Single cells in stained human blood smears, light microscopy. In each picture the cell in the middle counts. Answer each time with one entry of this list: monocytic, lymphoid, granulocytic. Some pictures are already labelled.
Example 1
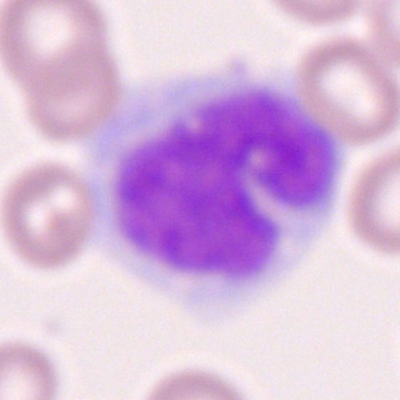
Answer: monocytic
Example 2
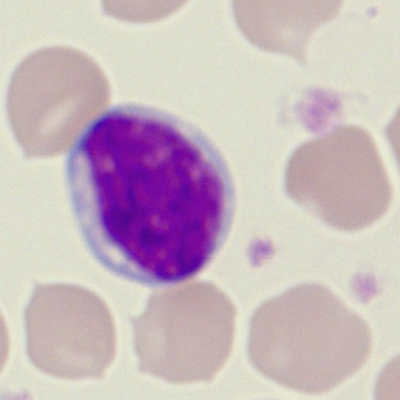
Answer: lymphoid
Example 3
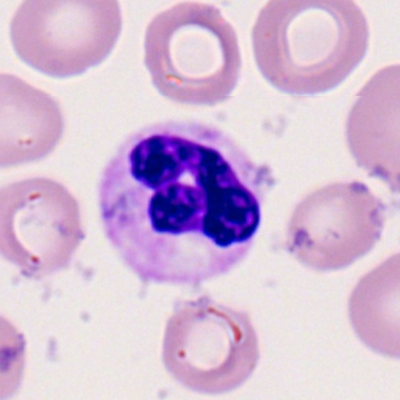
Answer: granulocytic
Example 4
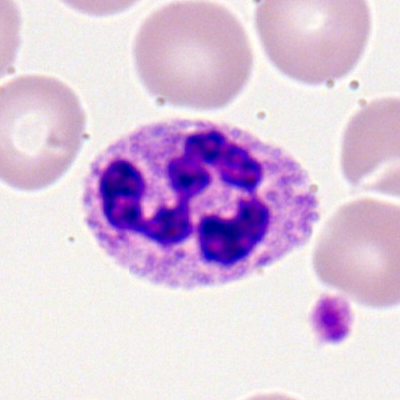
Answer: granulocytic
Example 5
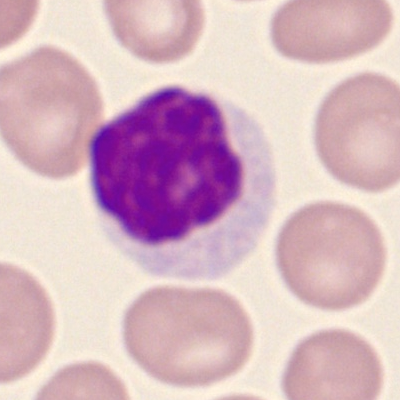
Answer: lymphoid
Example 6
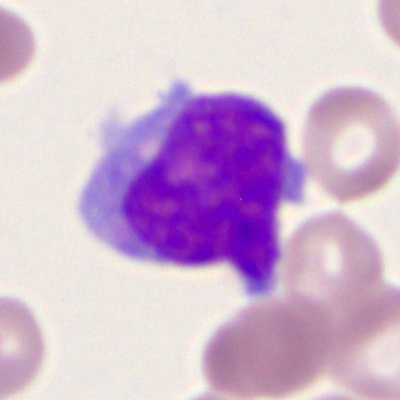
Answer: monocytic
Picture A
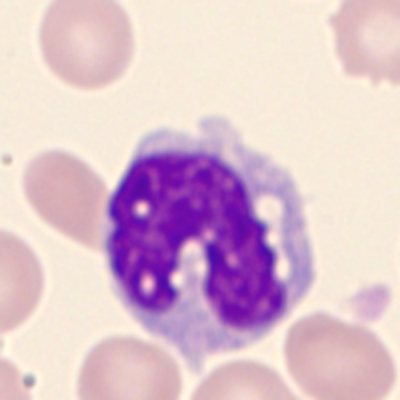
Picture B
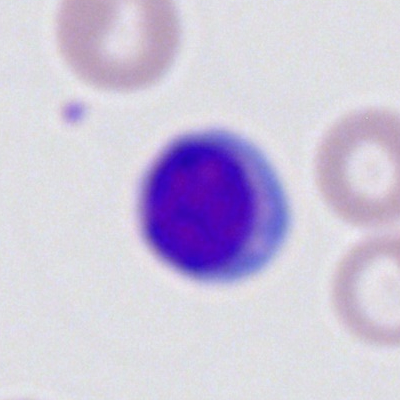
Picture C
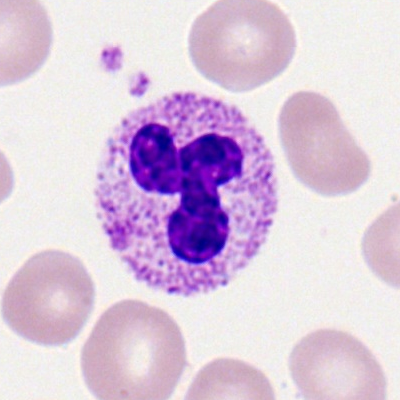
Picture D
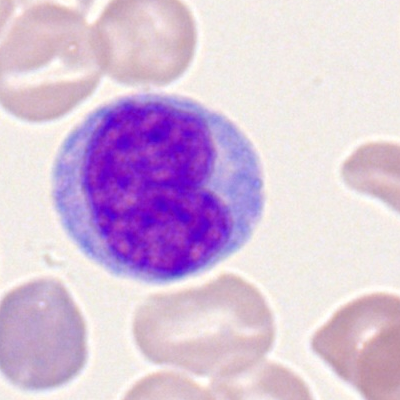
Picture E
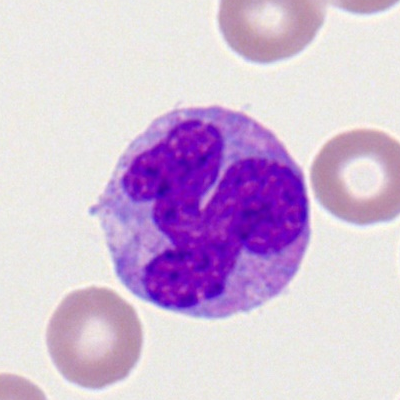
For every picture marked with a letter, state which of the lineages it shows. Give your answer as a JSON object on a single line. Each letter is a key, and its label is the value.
{"A": "monocytic", "B": "lymphoid", "C": "granulocytic", "D": "monocytic", "E": "monocytic"}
